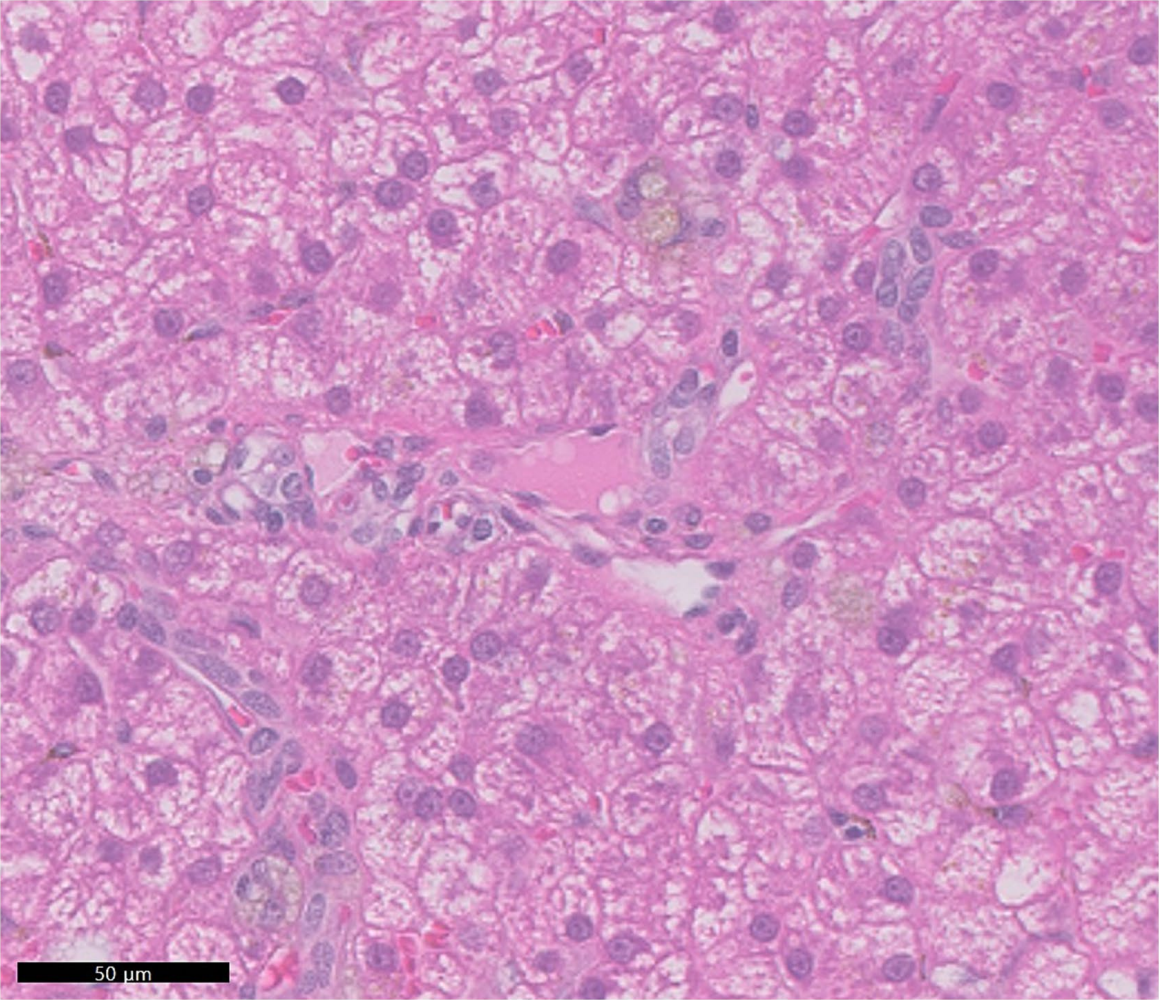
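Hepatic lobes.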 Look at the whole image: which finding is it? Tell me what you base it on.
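The cytoplasm of nearly all large polygonal cells is pale and finely vacuolated, with a foamy, reticulated look.
Hence: vacuolar degeneration.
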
